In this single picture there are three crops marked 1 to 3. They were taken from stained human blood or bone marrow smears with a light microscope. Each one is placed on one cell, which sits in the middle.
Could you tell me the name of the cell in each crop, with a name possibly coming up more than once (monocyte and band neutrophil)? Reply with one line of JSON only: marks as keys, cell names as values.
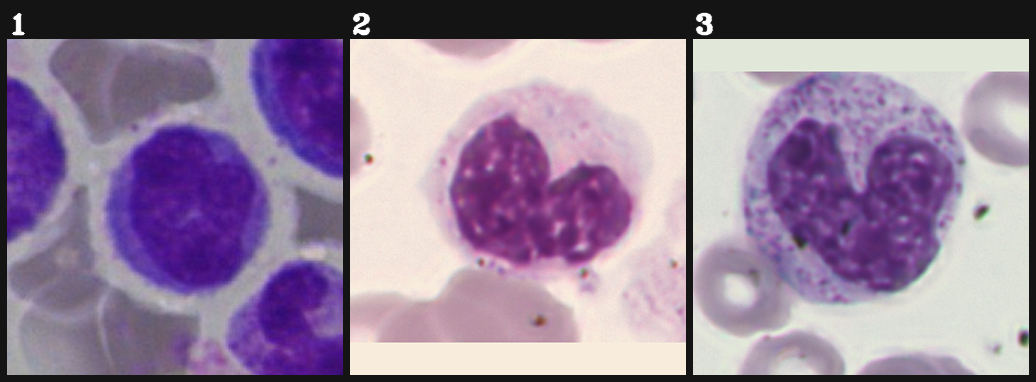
{"1": "monocyte", "2": "band neutrophil", "3": "band neutrophil"}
